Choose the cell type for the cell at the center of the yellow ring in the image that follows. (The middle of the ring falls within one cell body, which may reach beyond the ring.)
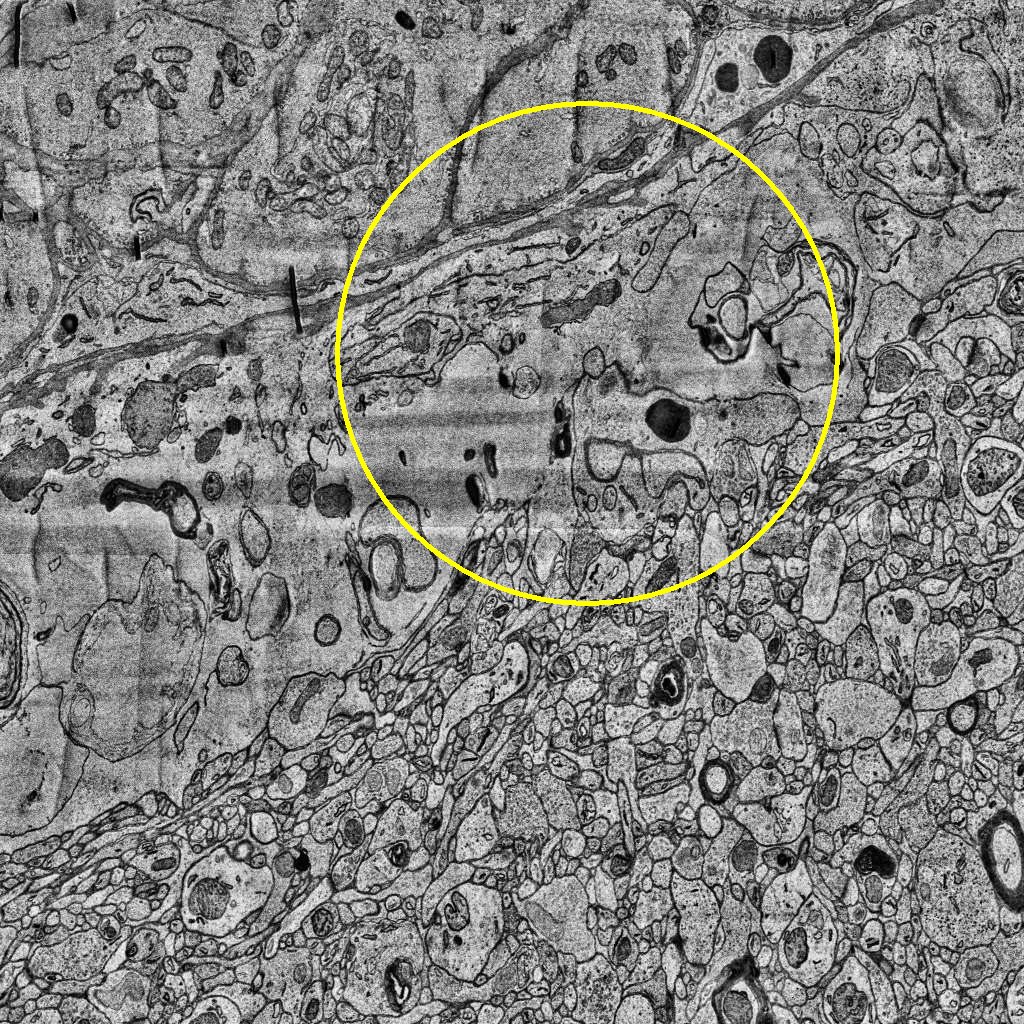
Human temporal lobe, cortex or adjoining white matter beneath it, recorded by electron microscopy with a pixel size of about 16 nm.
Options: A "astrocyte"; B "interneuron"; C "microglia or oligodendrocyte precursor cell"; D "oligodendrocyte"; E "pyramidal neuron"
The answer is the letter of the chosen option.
C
